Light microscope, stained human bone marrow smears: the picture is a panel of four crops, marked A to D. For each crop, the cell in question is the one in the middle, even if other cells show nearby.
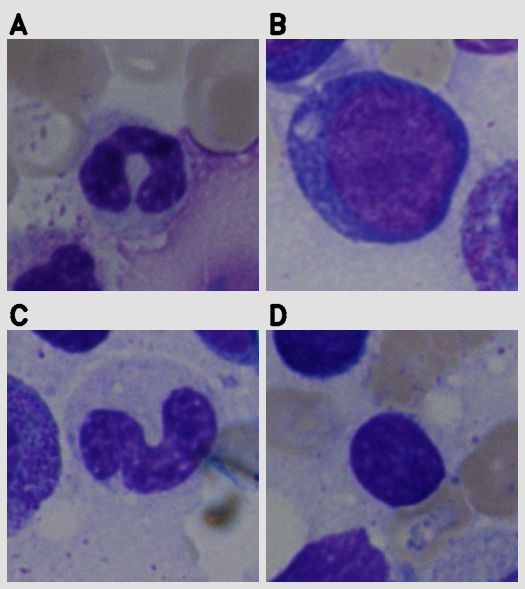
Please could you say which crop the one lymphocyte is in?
D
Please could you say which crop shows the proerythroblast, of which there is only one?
B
